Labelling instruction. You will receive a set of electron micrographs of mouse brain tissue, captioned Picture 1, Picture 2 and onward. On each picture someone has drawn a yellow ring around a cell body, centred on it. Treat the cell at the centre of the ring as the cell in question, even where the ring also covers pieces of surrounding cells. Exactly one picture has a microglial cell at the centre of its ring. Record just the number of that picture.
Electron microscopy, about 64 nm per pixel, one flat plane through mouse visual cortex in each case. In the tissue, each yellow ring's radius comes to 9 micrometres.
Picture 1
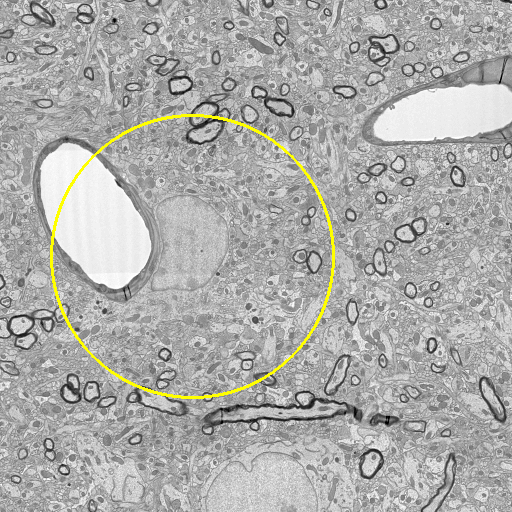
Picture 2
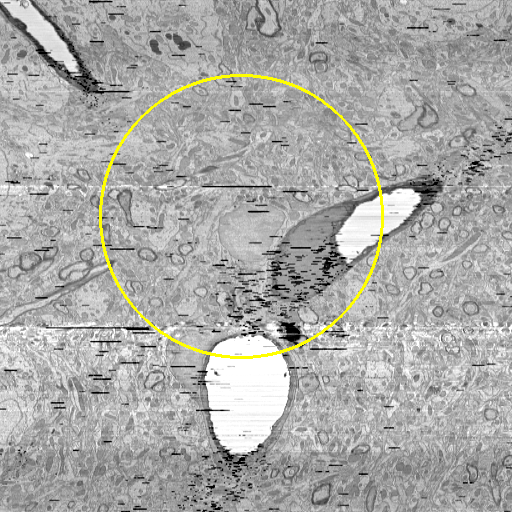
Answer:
2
